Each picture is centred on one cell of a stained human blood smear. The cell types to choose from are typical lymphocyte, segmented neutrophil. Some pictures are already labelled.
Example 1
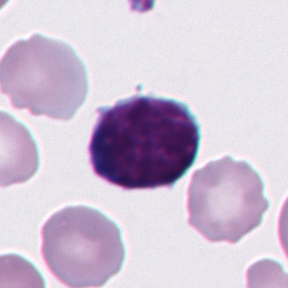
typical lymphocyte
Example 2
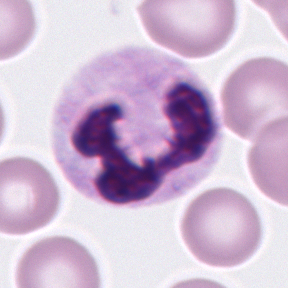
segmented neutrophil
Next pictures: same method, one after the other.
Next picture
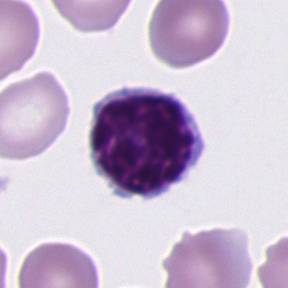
typical lymphocyte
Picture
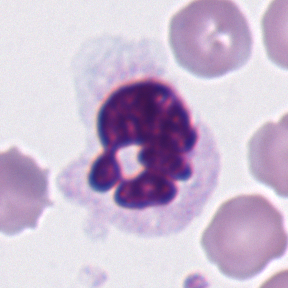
segmented neutrophil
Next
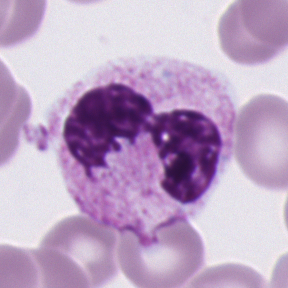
segmented neutrophil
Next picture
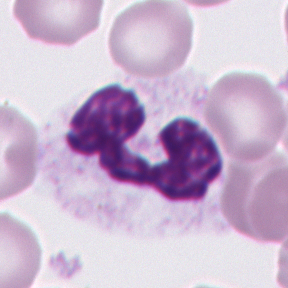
segmented neutrophil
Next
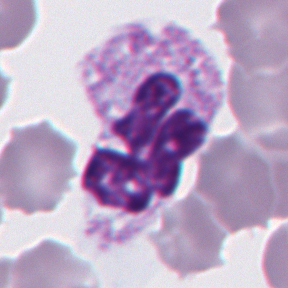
segmented neutrophil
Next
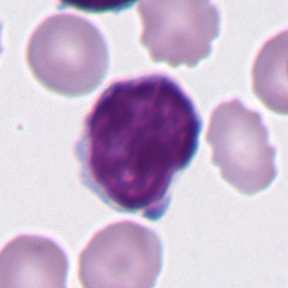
typical lymphocyte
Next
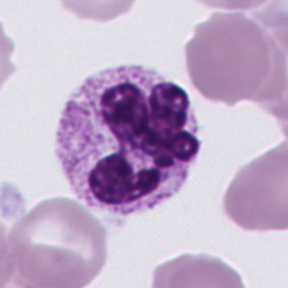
segmented neutrophil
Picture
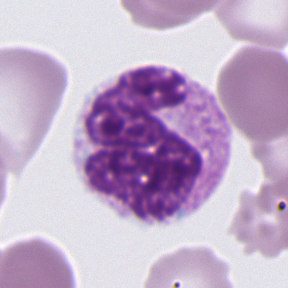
segmented neutrophil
